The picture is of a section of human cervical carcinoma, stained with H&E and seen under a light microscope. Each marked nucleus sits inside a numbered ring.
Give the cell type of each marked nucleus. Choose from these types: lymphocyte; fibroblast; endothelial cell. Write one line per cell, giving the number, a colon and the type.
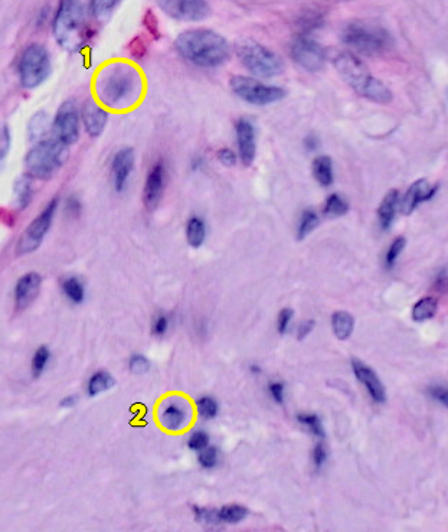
1: endothelial cell
2: fibroblast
